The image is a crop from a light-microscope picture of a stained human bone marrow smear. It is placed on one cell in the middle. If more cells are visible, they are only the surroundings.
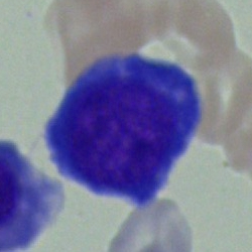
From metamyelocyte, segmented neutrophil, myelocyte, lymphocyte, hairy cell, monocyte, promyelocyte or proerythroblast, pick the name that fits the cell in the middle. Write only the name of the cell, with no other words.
proerythroblast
